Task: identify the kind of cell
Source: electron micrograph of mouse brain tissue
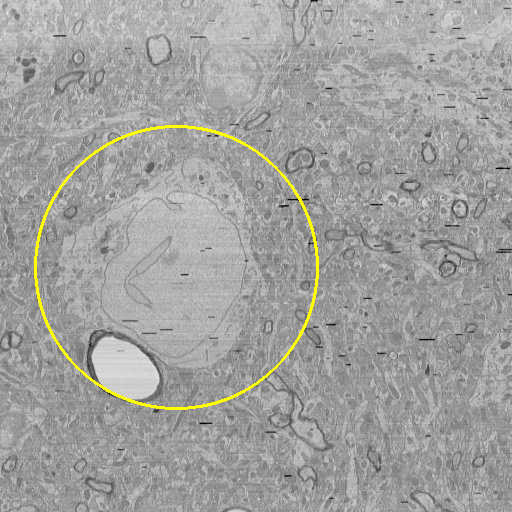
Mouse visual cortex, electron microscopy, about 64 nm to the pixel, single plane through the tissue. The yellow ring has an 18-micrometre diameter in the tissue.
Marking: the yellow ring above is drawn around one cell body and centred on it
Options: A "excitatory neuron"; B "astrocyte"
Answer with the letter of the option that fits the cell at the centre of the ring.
A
